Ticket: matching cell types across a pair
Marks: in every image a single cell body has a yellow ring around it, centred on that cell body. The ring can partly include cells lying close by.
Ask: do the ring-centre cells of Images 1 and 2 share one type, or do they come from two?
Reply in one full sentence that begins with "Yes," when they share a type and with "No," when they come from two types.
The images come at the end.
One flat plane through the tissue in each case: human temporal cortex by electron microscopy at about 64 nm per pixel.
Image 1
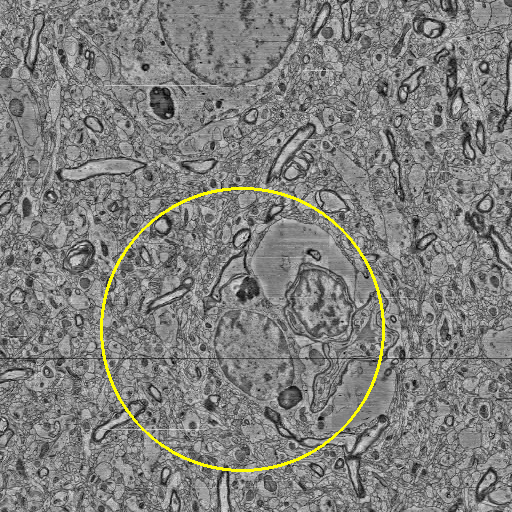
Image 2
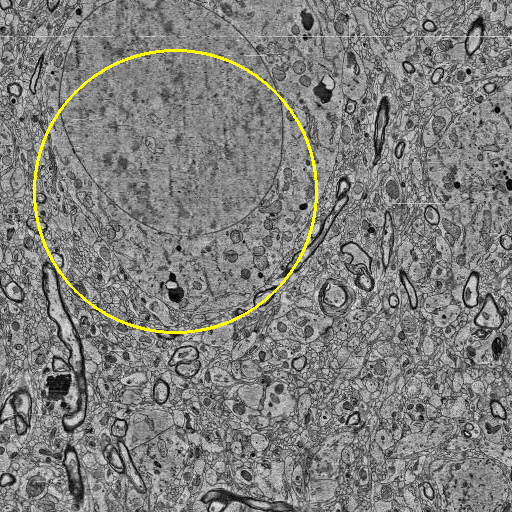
No, the cells in the centres of the rings in Image 1 and Image 2 come from two types.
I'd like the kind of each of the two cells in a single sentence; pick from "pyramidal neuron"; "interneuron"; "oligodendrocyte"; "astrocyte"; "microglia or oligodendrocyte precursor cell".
The first ring marks an oligodendrocyte, and the second ring marks a pyramidal neuron.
